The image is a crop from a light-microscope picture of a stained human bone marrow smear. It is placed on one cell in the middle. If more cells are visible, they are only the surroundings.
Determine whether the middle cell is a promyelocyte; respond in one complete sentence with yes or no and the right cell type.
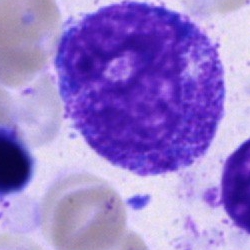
Yes, a promyelocyte is present in the middle of the crop.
